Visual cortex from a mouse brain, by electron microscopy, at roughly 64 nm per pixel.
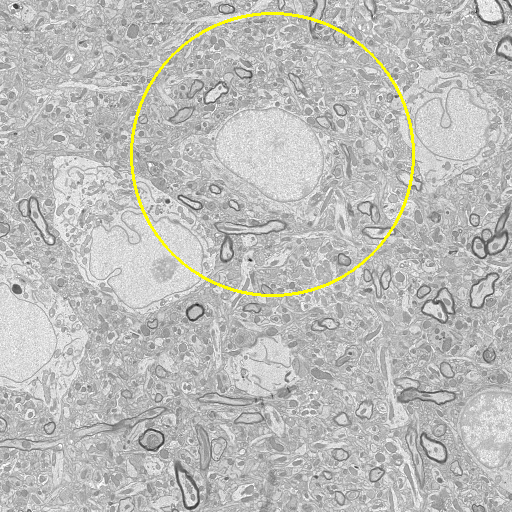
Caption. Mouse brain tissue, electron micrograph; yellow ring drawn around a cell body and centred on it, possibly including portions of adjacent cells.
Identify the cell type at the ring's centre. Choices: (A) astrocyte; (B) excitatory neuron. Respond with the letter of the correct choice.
A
